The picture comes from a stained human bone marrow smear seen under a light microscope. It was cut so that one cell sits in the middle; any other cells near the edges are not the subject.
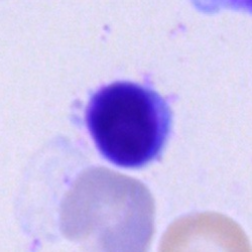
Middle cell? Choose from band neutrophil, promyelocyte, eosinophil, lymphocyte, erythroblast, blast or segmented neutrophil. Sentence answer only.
The cell at the middle of the crop is recognized as a lymphocyte.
